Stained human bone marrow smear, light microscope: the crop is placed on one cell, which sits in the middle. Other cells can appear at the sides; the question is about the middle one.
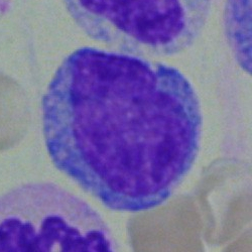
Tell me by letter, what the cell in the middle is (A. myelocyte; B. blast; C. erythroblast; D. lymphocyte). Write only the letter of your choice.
B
